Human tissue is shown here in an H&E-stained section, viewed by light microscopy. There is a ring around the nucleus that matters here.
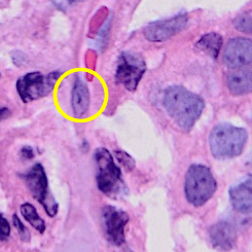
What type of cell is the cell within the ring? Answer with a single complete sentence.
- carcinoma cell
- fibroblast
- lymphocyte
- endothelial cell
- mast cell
As far as its identity is concerned, the cell within the ring is an endothelial cell.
